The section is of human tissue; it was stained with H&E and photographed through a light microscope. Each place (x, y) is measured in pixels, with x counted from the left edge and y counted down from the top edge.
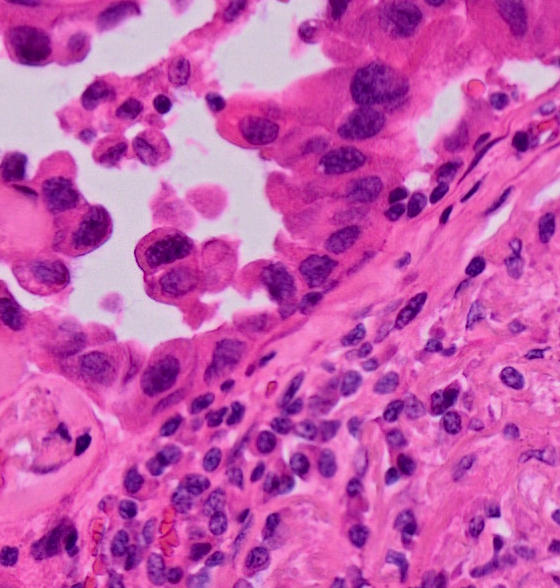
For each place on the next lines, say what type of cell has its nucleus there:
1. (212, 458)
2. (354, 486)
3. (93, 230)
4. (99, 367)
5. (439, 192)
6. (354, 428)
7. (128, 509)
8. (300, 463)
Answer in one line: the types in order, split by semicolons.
mast cell; plasma cell; carcinoma cell; carcinoma cell; lymphocyte; lymphocyte; lymphocyte; plasma cell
